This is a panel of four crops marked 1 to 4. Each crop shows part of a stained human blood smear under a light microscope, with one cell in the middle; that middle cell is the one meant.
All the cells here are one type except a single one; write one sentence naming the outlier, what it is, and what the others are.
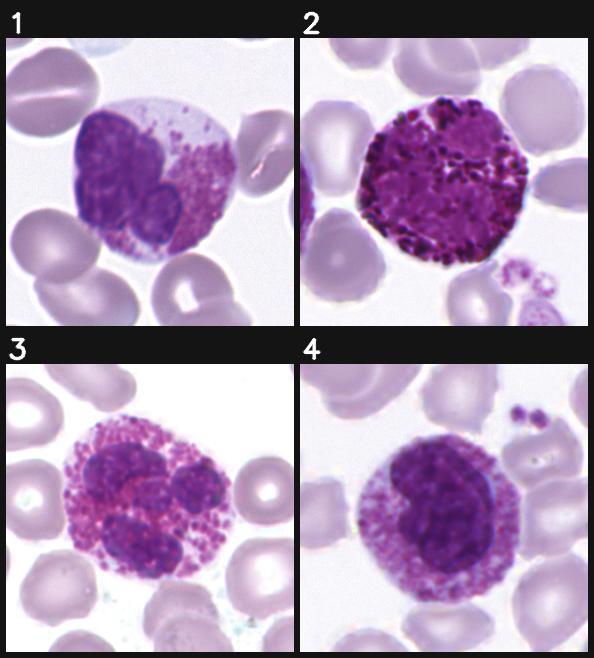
What sets crop 2 apart is that it is a basophil; the others are all eosinophils.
